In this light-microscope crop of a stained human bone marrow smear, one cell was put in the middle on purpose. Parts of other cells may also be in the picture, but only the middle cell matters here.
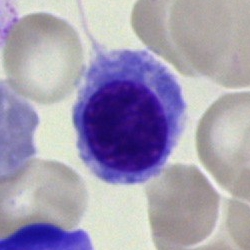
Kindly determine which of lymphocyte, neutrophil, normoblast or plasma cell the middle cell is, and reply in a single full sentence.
The crop centres on a single cell, and that cell is a normoblast.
